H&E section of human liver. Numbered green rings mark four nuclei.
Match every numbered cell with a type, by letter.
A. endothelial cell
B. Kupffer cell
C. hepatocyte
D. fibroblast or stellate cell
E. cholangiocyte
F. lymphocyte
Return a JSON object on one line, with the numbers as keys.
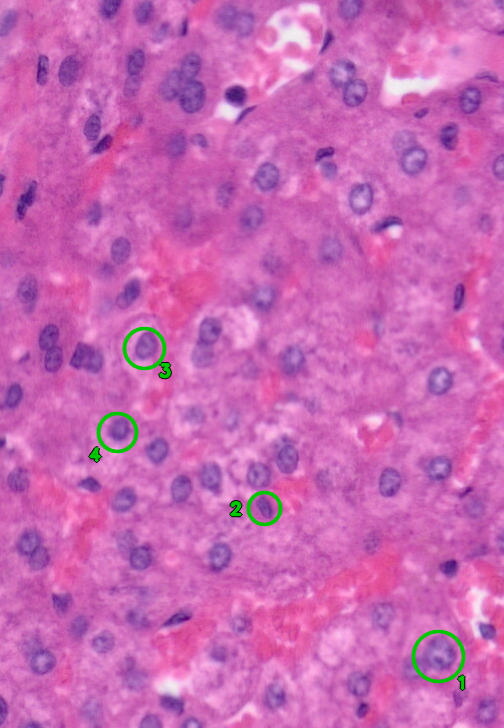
{"1": "C", "2": "A", "3": "C", "4": "C"}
